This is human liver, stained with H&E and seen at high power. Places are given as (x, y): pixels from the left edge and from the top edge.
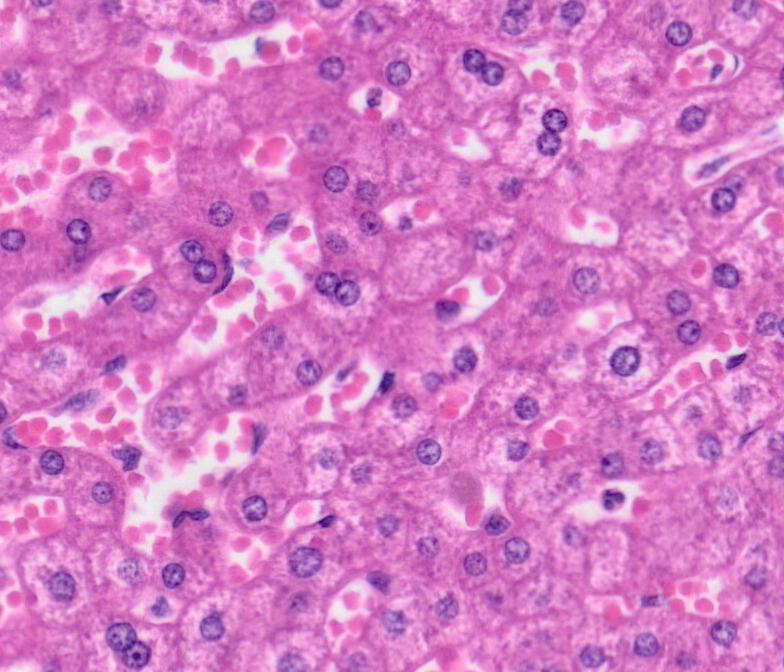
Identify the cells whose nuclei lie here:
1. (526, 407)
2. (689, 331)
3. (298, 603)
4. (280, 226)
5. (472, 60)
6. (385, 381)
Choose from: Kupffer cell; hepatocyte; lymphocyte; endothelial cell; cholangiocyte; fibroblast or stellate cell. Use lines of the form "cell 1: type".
cell 1: hepatocyte
cell 2: hepatocyte
cell 3: hepatocyte
cell 4: Kupffer cell
cell 5: hepatocyte
cell 6: fibroblast or stellate cell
